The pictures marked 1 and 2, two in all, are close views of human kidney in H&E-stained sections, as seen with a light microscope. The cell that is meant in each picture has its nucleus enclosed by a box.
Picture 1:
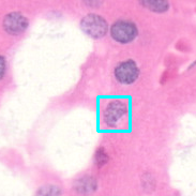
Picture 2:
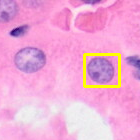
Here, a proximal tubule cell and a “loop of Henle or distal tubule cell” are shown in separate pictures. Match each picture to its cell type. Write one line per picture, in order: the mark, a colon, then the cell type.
1: loop of Henle or distal tubule cell
2: proximal tubule cell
